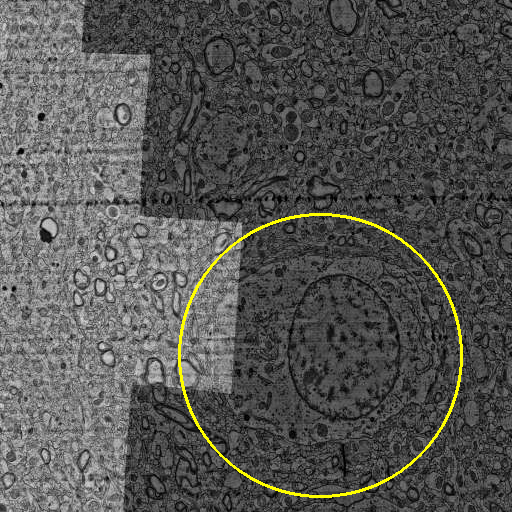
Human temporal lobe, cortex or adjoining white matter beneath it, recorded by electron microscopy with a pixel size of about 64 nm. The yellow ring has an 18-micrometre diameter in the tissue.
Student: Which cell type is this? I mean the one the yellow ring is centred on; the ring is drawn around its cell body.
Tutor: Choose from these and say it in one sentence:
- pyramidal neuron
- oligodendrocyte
The cell the ring is centred on is a pyramidal neuron.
